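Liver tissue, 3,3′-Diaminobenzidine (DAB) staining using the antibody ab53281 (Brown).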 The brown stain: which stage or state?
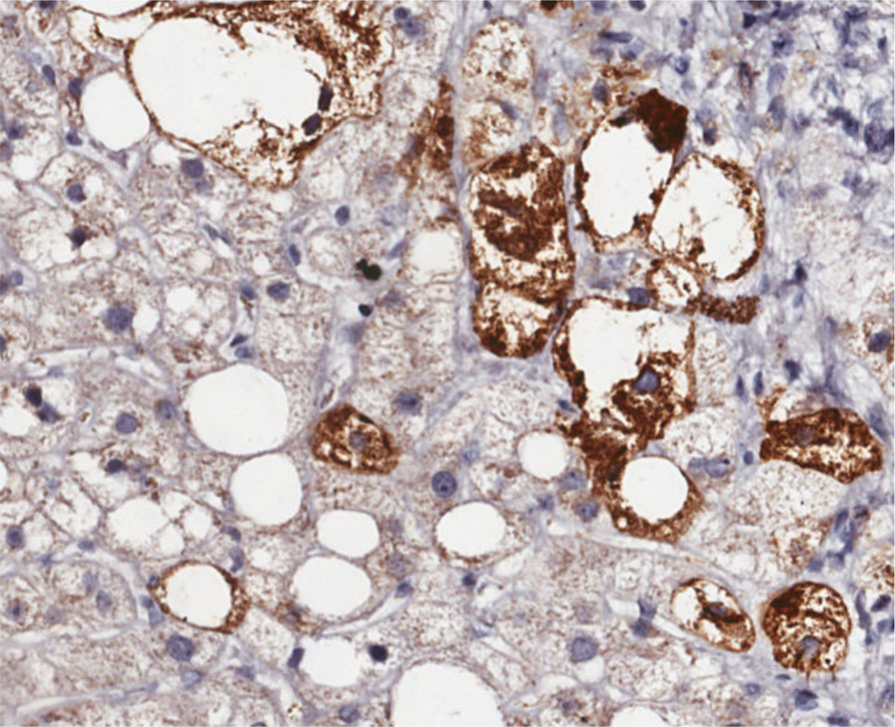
hepatocytes undergoing ballooning degeneration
